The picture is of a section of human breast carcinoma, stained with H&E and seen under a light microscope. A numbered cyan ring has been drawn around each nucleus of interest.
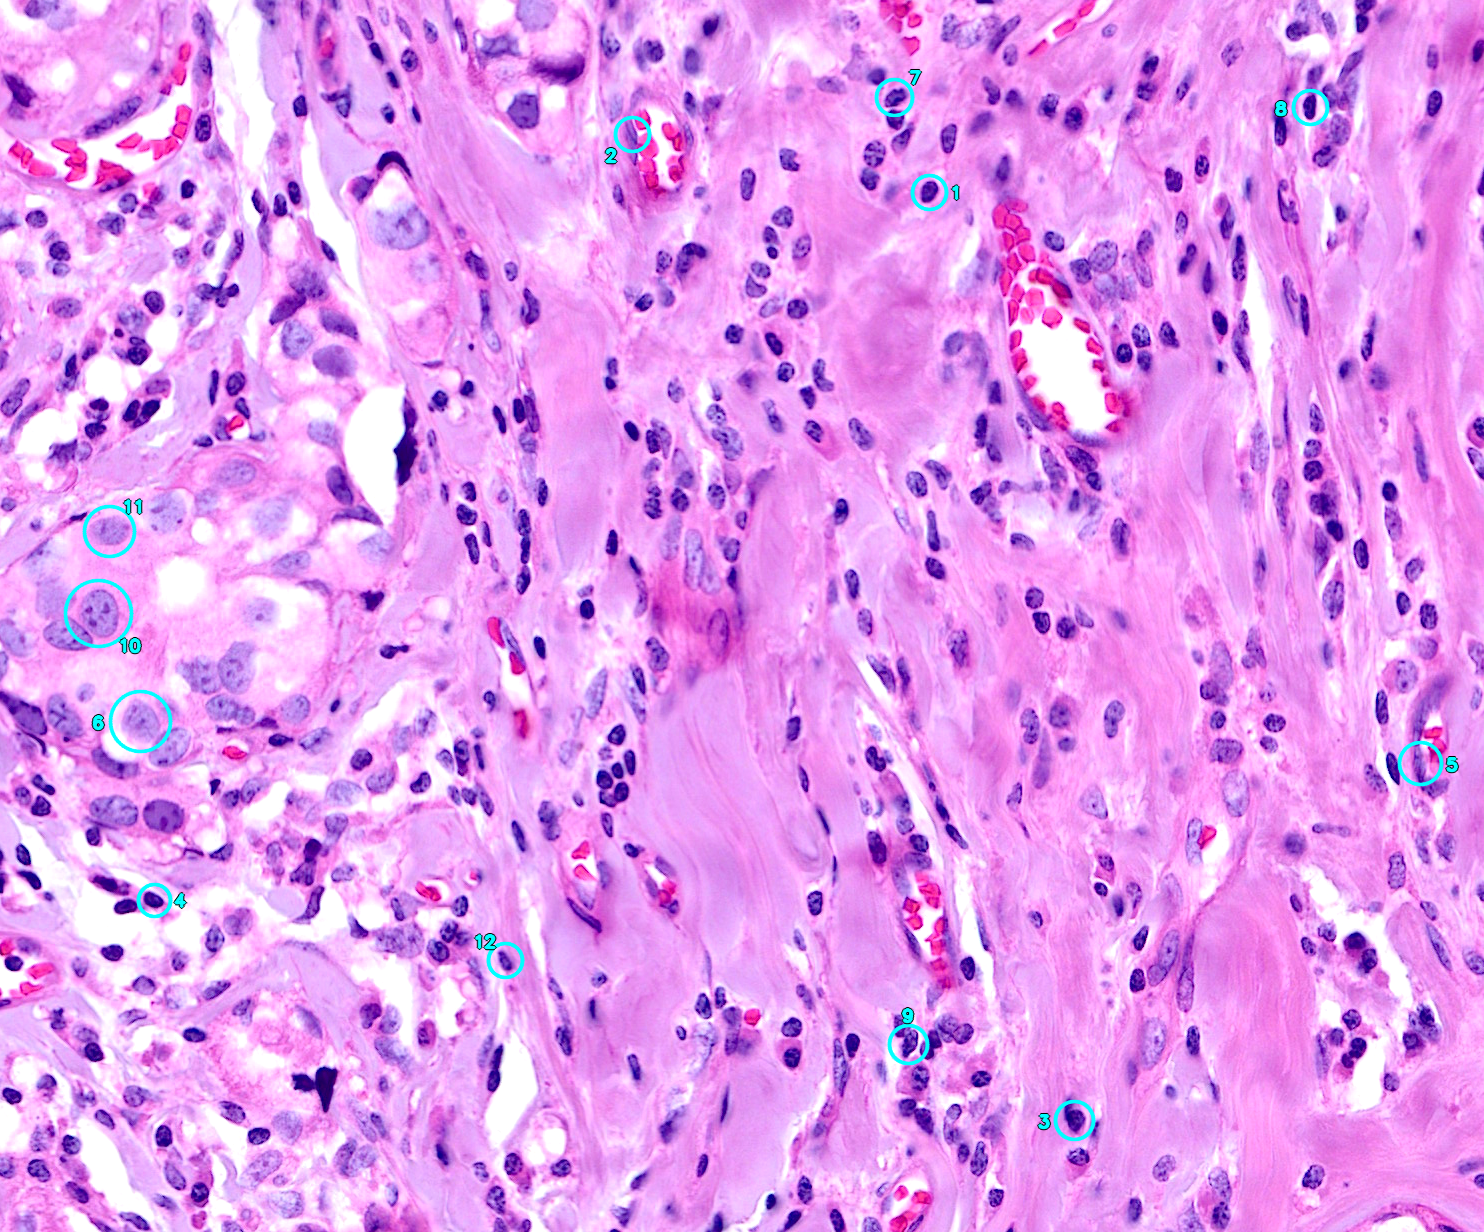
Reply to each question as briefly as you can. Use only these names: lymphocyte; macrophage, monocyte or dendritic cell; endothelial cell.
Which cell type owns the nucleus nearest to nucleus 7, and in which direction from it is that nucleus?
a lymphocyte; below nucleus 7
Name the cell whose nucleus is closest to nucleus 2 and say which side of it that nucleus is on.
an endothelial cell below nucleus 2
